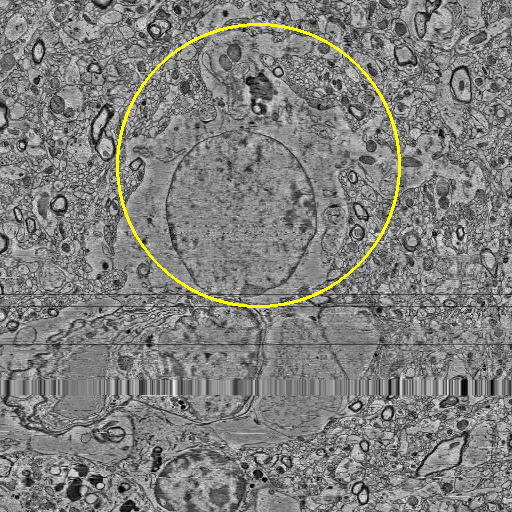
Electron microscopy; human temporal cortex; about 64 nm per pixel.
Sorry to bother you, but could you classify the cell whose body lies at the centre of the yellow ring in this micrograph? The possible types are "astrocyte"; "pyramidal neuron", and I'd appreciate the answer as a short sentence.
The ringed cell body is that of an astrocyte.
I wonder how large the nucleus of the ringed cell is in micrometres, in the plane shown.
Roughly 12 by 10 micrometres is the size of the nucleus in this plane.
